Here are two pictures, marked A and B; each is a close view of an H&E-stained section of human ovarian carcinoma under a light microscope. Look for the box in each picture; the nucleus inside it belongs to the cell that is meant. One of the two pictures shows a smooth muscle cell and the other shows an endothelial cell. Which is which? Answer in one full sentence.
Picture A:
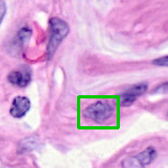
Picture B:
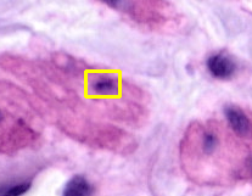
The cell in picture A is an endothelial cell, and the one in picture B is a smooth muscle cell.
